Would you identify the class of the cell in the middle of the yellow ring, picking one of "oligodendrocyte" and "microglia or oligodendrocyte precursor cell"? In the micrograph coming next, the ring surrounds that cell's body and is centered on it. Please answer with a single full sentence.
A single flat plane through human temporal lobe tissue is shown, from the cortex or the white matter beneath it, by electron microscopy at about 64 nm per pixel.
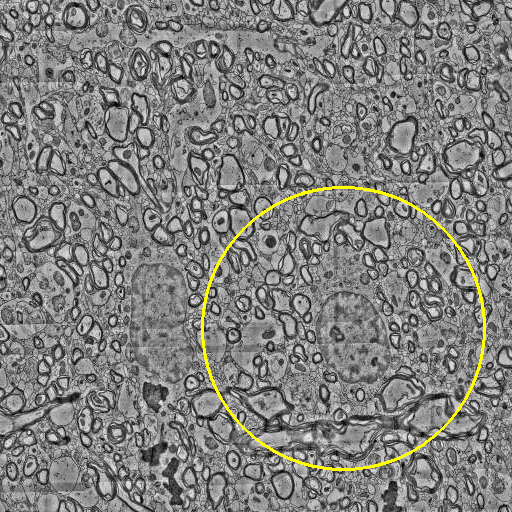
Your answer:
In the micrograph, it is an oligodendrocyte whose body lies at the ring's center.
